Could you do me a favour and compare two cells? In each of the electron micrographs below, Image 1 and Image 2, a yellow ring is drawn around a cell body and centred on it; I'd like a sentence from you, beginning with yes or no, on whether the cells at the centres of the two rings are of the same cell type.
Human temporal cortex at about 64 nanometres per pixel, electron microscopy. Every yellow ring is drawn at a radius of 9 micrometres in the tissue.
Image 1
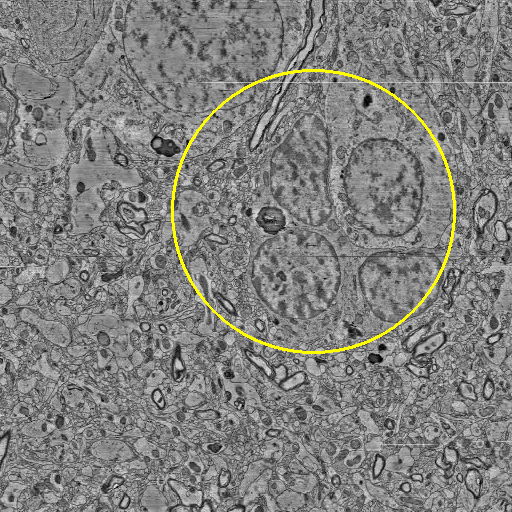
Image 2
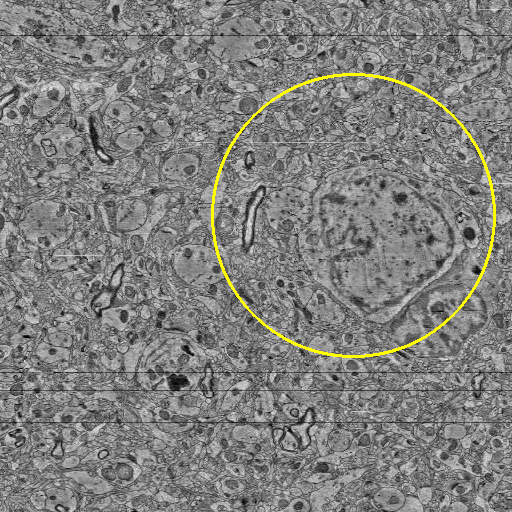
No, the two cells are of two cell types.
